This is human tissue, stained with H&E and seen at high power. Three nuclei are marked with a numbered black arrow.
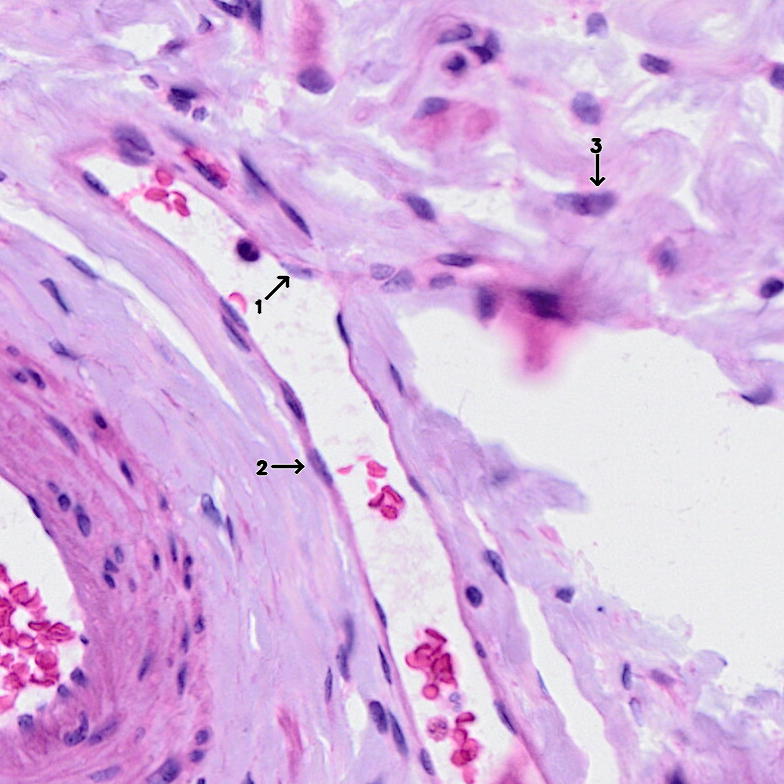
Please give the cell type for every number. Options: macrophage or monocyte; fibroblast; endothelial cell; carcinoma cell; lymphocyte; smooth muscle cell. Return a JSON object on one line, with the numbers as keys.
{"1": "endothelial cell", "2": "endothelial cell", "3": "fibroblast"}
